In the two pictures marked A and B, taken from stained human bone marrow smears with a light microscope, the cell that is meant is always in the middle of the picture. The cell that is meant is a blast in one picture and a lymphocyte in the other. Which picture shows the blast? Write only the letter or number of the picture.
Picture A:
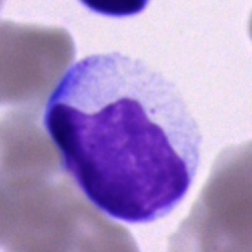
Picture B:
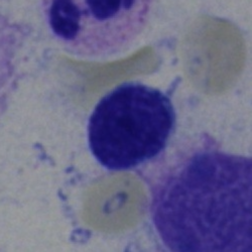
A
